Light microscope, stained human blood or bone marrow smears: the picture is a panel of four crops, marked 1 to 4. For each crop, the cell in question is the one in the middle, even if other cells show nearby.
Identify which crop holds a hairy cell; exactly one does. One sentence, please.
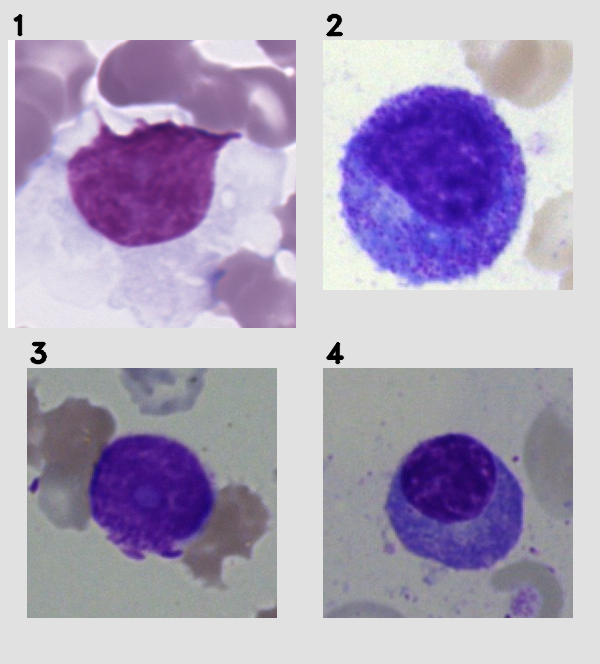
The crop with a hairy cell at its center is crop 1.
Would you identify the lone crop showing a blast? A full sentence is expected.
Of the labeled crops, the one with a blast is crop 3.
